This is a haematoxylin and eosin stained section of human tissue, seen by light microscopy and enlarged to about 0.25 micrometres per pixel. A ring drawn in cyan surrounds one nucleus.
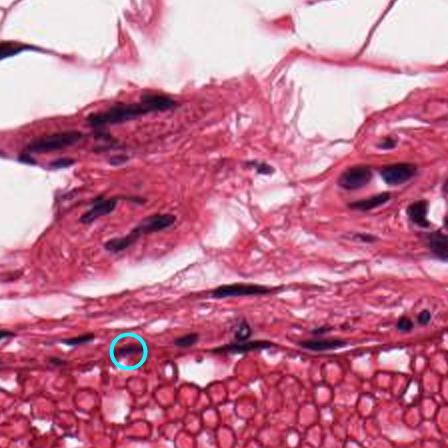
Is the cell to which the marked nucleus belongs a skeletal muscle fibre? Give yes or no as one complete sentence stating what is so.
No, the cell that carries the marked nucleus is a supporting cell, not a skeletal muscle fibre.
